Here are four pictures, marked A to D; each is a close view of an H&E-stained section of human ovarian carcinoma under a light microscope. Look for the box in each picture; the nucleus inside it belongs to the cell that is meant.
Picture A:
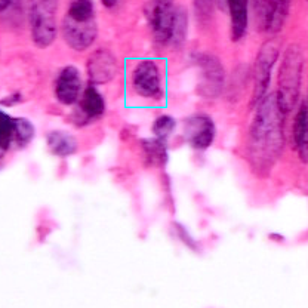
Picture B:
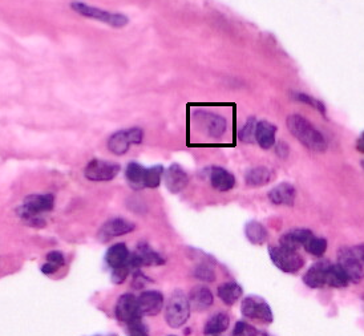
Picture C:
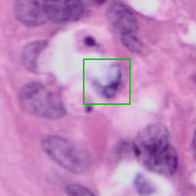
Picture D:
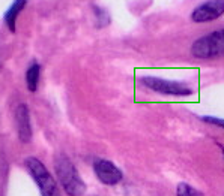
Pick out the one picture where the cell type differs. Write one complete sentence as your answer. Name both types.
The different one is picture D; it shows a fibroblast, whereas all the others show “macrophages or monocytes”.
